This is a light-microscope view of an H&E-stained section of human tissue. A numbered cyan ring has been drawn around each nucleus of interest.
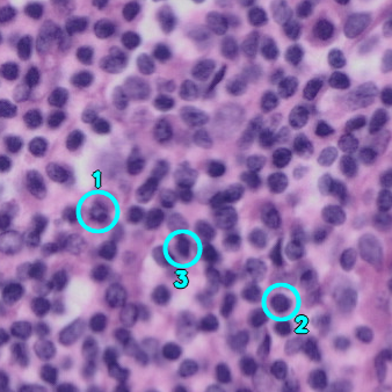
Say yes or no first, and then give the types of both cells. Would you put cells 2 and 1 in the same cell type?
No, cell 2 is a small lymphocyte and cell 1 is a plasma cell.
